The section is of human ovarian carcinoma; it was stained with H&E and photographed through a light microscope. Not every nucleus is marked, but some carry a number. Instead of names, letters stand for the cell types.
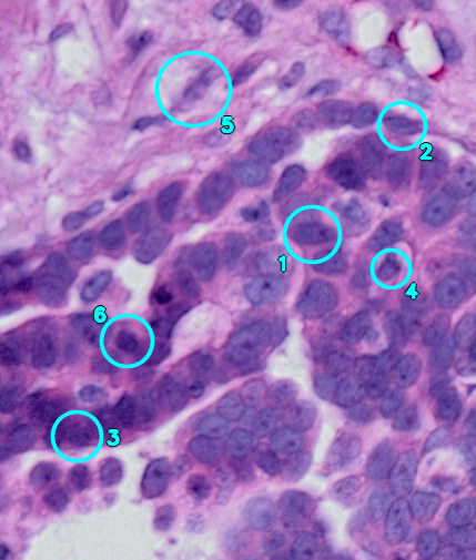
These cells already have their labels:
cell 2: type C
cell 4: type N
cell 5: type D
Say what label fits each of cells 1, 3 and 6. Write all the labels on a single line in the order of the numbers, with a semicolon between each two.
type C; type C; type C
